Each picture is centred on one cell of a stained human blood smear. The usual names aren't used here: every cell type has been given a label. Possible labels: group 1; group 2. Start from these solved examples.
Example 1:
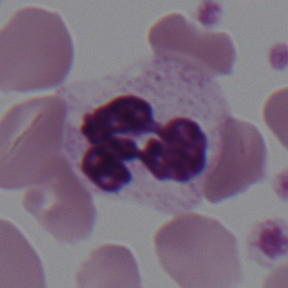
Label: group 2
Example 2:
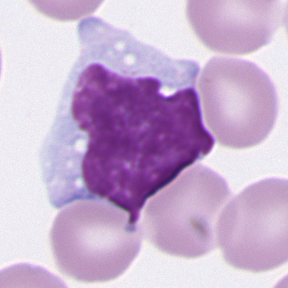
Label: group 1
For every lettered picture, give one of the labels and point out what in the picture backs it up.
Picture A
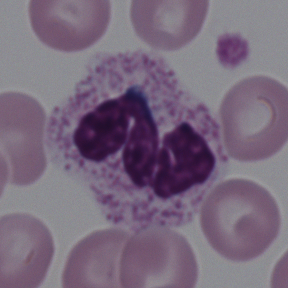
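Label: group 2. The nucleus is divided into three lobes joined in a row.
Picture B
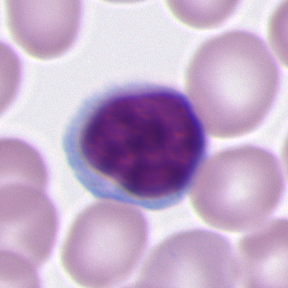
Label: group 1. The nucleus fills most of the cell and sits toward its upper right.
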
